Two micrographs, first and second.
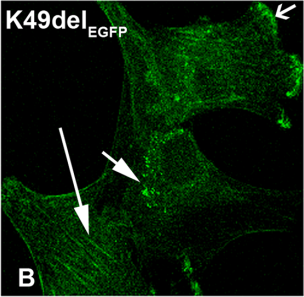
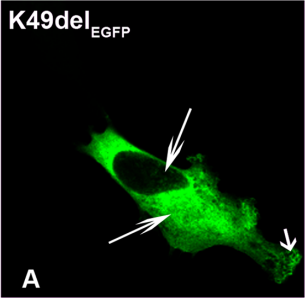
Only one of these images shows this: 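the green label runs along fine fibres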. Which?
the first image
